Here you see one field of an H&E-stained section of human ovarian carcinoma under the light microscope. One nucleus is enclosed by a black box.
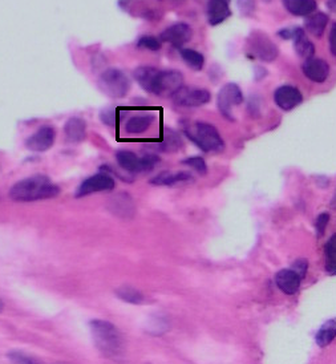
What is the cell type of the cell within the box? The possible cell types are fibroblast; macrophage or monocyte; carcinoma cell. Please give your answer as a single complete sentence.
In this tissue sample, the cell within the box is a carcinoma cell.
